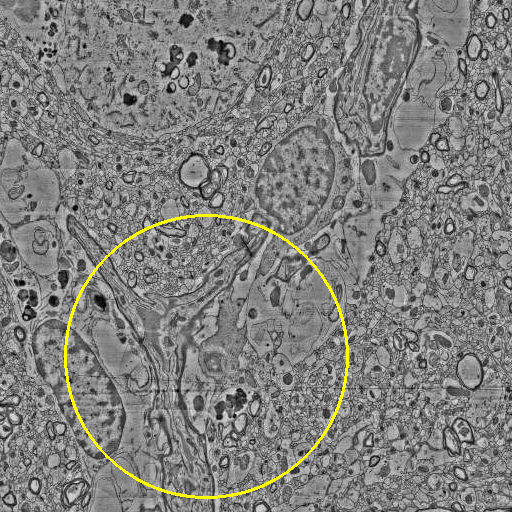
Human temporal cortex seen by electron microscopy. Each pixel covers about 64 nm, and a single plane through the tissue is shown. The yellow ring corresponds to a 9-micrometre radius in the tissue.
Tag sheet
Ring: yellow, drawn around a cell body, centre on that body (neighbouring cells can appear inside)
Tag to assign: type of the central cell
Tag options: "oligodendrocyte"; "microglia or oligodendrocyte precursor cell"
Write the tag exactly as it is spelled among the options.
oligodendrocyte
